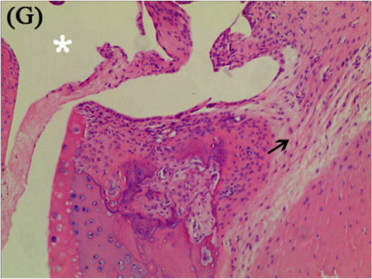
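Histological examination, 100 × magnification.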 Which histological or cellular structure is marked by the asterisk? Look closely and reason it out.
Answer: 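Clear joint cavity. The asterisk lies in an empty pale space. Thin tissue and cartilage surfaces border this space. No cells fill the space.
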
